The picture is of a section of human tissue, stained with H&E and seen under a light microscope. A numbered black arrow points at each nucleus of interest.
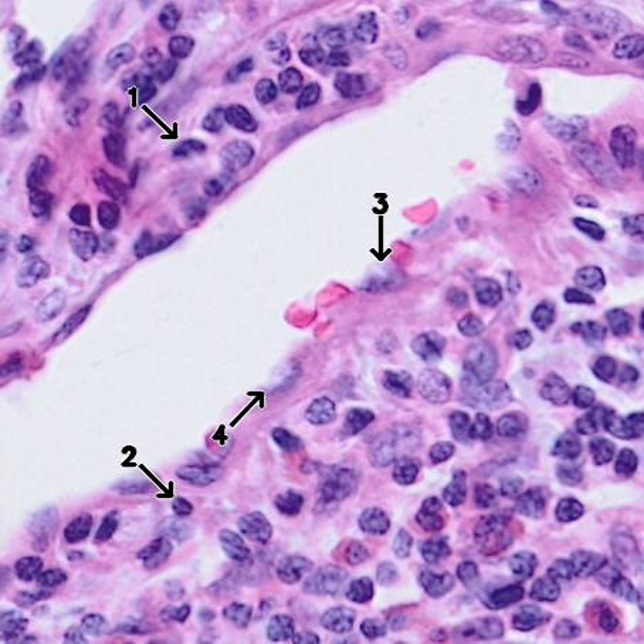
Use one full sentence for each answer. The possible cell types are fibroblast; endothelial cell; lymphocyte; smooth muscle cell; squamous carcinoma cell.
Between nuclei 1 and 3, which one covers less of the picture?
Nucleus 1 is the smaller one; nucleus 3 covers about 2 times its area.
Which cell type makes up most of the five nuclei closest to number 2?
Endothelial cells make up most of the five nuclei closest to number 2.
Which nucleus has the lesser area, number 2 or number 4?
The smaller nucleus is 2, and 4 covers roughly 2 times its area.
